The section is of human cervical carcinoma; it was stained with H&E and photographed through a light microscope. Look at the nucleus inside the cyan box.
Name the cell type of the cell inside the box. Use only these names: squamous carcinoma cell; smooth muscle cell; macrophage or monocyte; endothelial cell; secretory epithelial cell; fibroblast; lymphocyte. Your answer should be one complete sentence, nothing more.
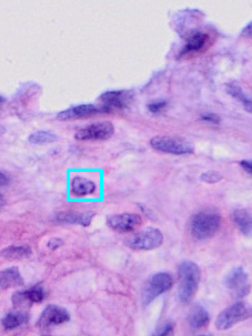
By its classification, the cell inside the box is a lymphocyte.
